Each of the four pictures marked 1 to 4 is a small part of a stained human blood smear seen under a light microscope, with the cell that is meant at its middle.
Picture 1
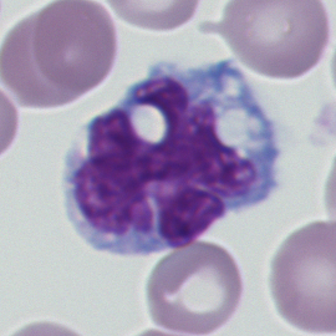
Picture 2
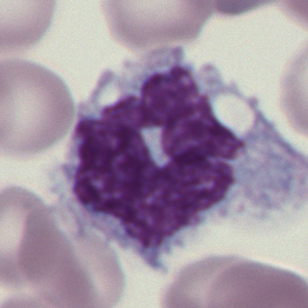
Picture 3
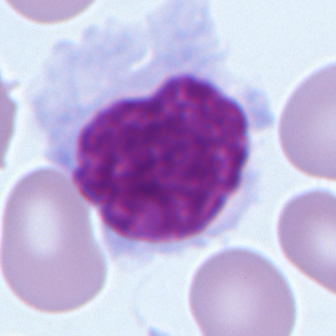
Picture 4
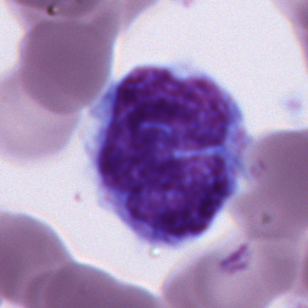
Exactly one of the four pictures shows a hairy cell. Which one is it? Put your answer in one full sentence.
The hairy cell is the one in picture 3.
